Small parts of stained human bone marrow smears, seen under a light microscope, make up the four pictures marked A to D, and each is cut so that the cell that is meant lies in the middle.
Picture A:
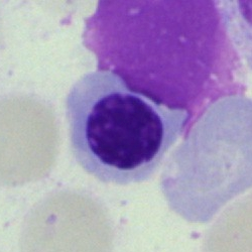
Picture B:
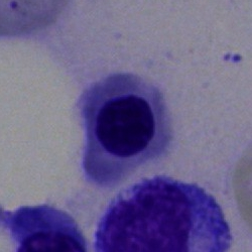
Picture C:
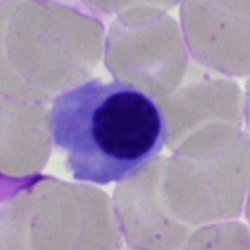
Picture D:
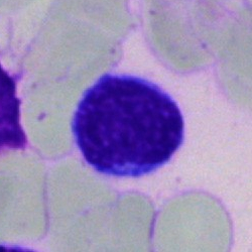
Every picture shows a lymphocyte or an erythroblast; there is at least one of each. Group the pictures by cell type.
A: erythroblast
B: erythroblast
C: erythroblast
D: lymphocyte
